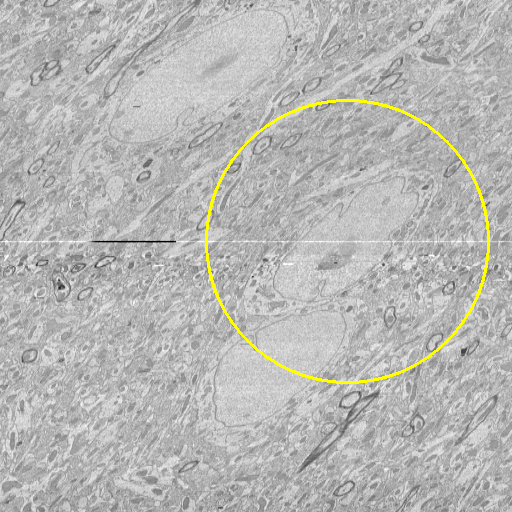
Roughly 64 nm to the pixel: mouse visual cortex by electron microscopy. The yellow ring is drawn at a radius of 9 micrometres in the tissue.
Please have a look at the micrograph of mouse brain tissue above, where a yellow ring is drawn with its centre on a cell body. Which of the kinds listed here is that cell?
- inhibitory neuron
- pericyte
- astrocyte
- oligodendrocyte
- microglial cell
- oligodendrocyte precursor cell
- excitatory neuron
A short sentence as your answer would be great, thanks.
At the centre of the ring sits an inhibitory neuron.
